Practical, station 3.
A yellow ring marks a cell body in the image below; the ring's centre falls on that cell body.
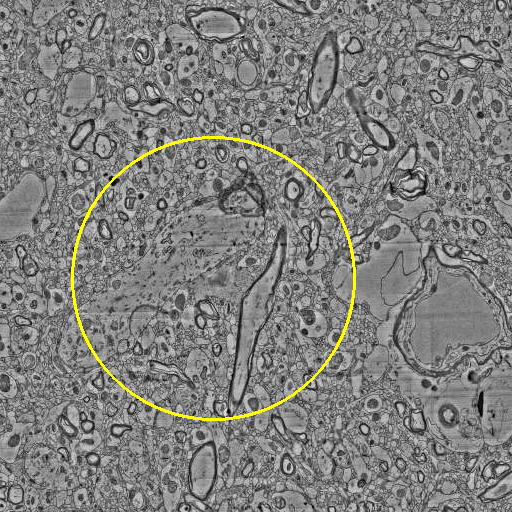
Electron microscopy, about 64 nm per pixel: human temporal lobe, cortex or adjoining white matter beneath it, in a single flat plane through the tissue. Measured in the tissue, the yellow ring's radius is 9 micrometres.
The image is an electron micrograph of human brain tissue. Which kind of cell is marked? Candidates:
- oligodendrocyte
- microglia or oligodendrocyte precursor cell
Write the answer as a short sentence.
The marked cell body is that of an oligodendrocyte.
